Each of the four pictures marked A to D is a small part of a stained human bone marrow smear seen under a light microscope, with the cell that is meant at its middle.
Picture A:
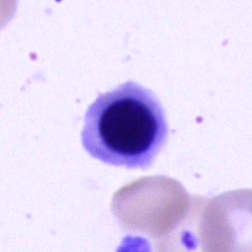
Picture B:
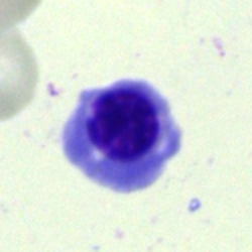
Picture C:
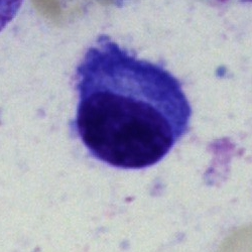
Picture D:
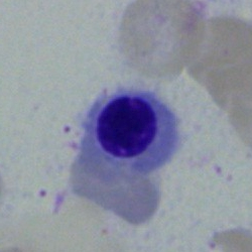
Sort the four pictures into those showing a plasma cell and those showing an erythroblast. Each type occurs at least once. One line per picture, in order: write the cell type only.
erythroblast
erythroblast
plasma cell
erythroblast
